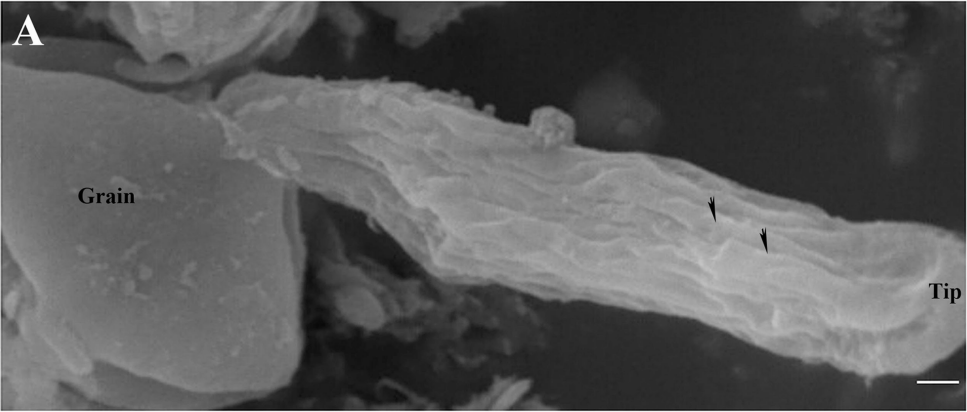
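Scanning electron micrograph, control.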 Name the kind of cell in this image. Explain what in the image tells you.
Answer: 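A long tubular outgrowth emerges from a large rounded grain. The tube ends in a rounded tip.
Pollen tube.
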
